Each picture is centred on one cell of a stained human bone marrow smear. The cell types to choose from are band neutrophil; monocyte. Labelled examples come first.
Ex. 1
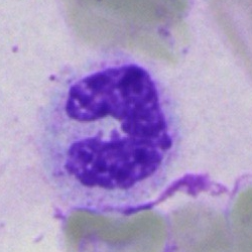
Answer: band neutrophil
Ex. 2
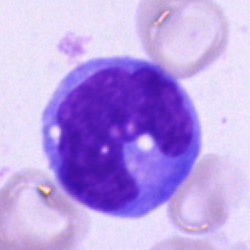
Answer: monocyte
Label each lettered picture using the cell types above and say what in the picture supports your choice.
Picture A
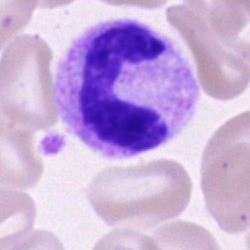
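band neutrophil: Fine pinkish-violet granules are scattered through the cytoplasm.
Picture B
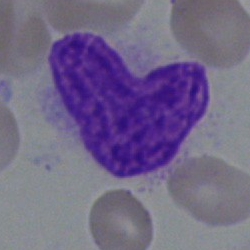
monocyte: The cytoplasm is scant, forming only a faint rim around the nucleus.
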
